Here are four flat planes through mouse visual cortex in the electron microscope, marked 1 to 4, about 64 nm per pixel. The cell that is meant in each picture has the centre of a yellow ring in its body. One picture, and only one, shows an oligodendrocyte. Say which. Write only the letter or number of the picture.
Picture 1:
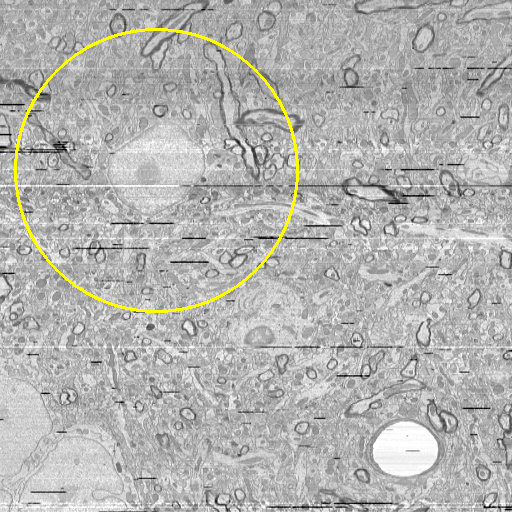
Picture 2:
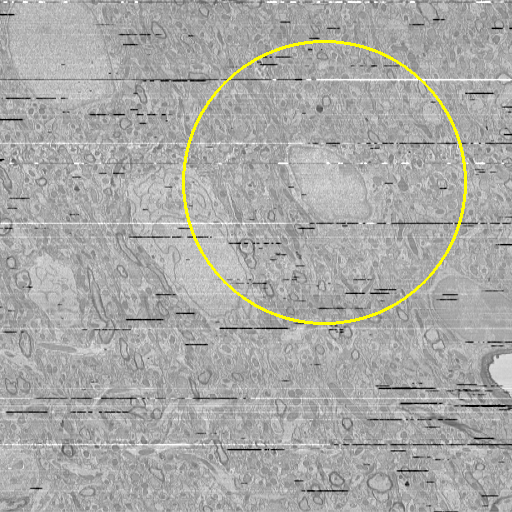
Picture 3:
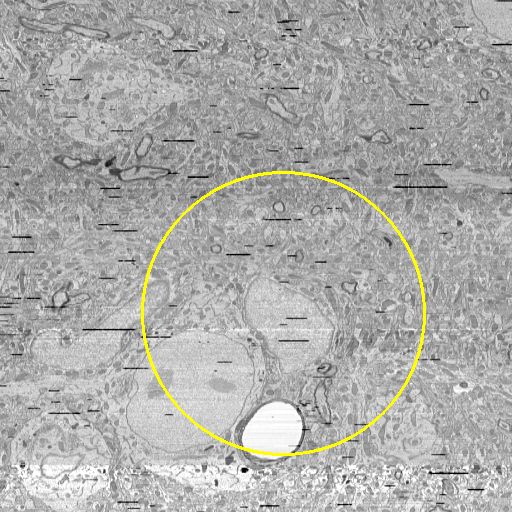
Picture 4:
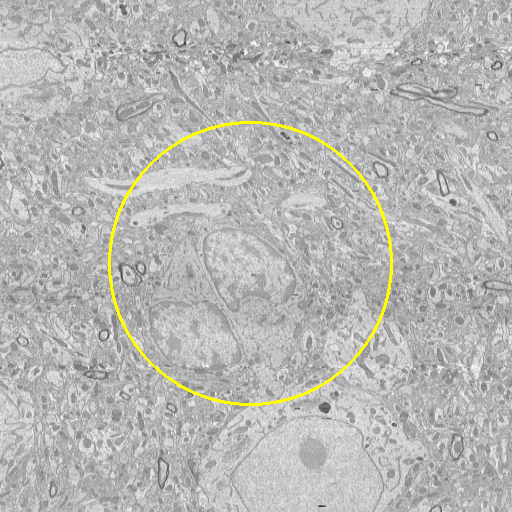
4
